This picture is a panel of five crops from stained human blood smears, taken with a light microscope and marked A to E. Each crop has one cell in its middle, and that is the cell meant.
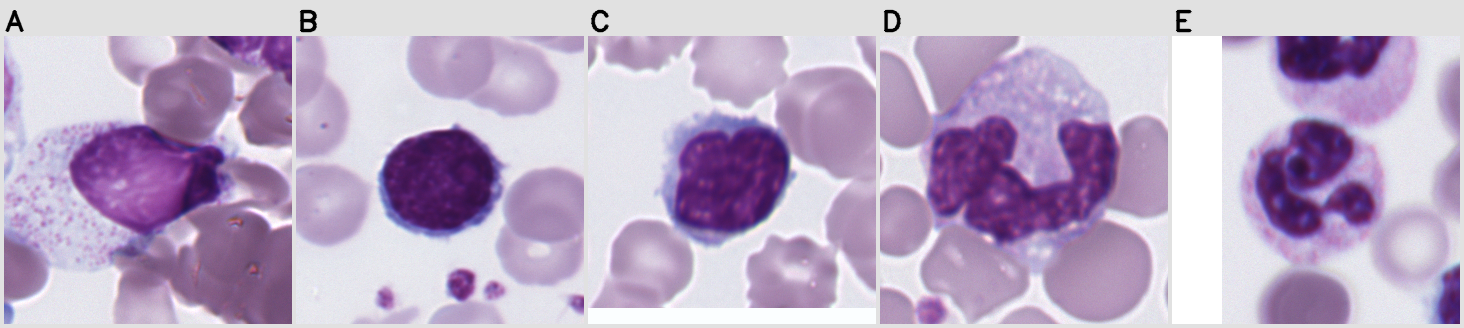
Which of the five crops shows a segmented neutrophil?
E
